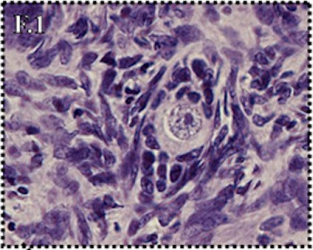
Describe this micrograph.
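Ovarian cortex with a preantral follicle set in dense stroma of spindle-shaped cells with elongated purple nuclei. The oocyte sits centrally, round, with a pale cytoplasm and a distinct nucleus.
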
